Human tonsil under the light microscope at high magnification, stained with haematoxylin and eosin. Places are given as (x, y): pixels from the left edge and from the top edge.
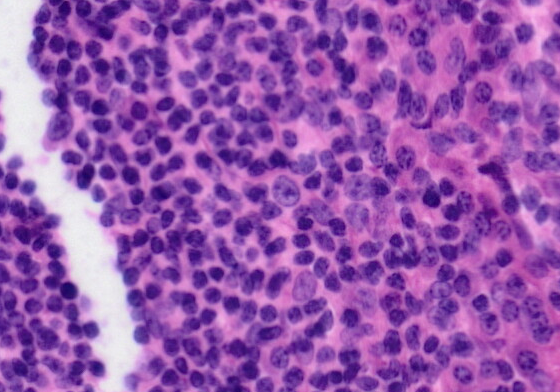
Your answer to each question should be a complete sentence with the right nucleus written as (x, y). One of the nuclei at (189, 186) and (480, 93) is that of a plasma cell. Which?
Of these two nuclei, only the one at (480, 93) belongs to a plasma cell.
